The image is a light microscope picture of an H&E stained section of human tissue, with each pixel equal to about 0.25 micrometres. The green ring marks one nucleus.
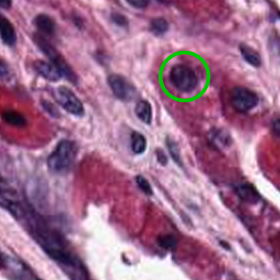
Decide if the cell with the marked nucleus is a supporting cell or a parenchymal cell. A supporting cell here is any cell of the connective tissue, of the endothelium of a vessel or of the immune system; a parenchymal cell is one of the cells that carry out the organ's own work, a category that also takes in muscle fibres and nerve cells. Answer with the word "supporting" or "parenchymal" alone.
parenchymal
